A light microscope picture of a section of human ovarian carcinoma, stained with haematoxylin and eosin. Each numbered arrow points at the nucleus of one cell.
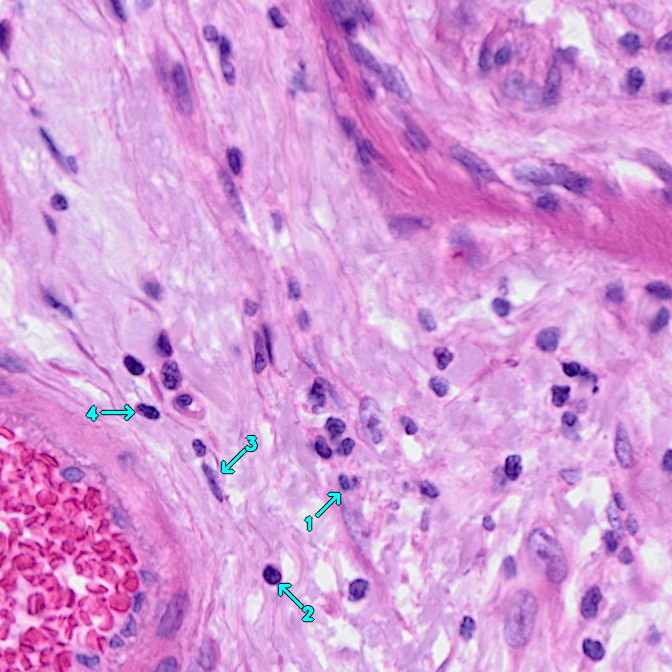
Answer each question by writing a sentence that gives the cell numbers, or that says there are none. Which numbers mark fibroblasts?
The numbered cells include exactly one that is a fibroblast, which is cell 3.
